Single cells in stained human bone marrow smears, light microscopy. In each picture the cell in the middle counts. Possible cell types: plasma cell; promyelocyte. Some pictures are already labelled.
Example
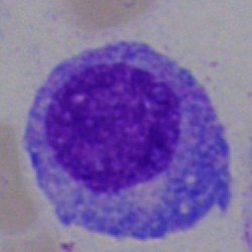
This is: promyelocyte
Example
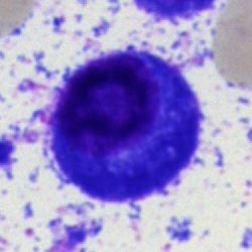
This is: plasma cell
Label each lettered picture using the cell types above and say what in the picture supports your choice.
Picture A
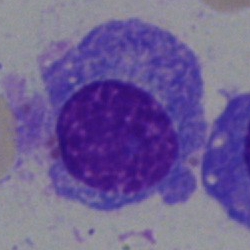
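plasma cell. Reason: The chromatin is dark purple and coarsely clumped, with small pale spaces between the clumps.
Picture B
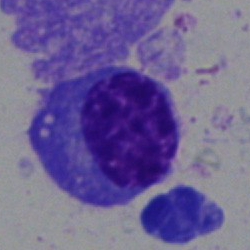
plasma cell. Reason: The chromatin is dark purple and coarsely clumped.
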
